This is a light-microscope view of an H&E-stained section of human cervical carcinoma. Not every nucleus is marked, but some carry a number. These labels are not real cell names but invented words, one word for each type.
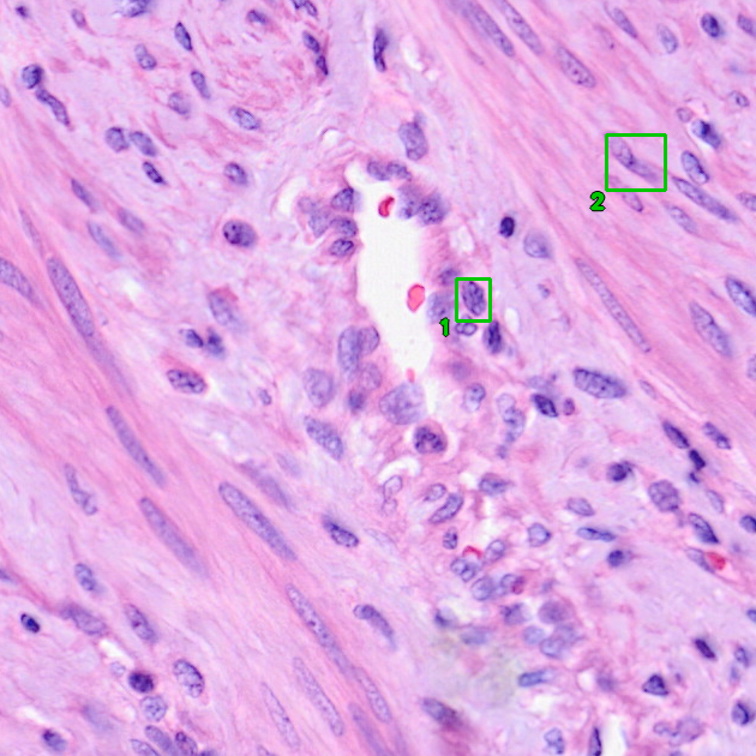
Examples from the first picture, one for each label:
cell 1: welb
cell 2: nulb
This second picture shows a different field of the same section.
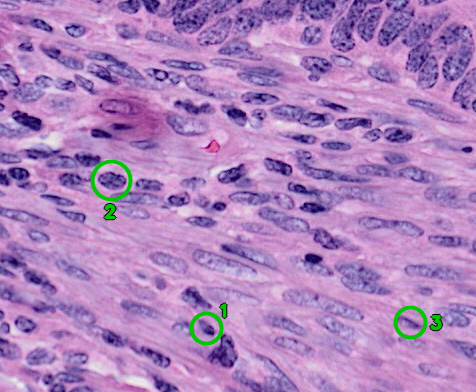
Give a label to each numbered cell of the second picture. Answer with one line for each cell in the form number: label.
1: welb
2: welb
3: nulb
